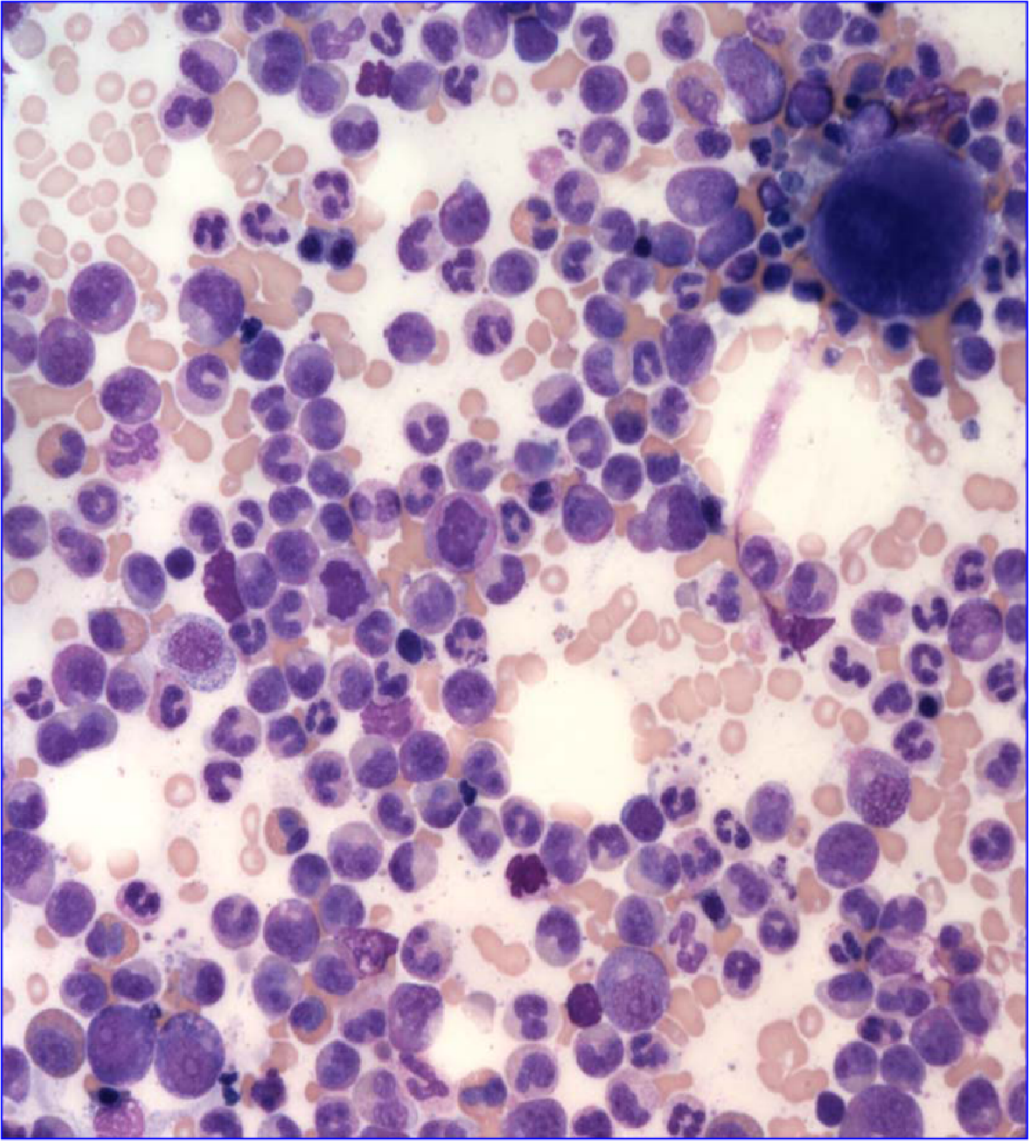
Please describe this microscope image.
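This is a cellular bone marrow aspirate smear, dominated by granulocytic cells at all stages of maturation. Larger precursors with round or oval nuclei, fine chromatin and bluish to lilac granular cytoplasm lie among metamyelocytes with kidney-shaped nuclei, band forms with horseshoe-shaped nuclei, and many segmented neutrophils with lobed nuclei and pale granular cytoplasm. A few cells with orange-red coarse granules are scattered. Pale pink red blood cells fill the gaps. At the upper right lies a very large cell with a dense, dark purple nuclear mass, a megakaryocyte. Small dark round nuclei are sparse.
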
